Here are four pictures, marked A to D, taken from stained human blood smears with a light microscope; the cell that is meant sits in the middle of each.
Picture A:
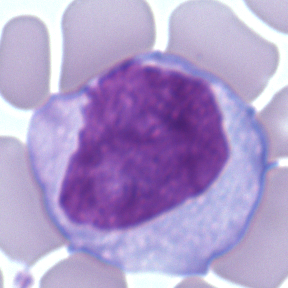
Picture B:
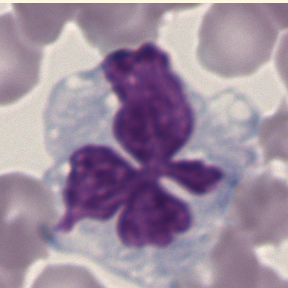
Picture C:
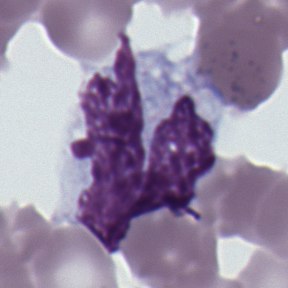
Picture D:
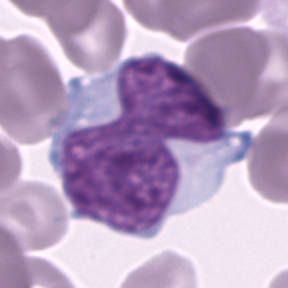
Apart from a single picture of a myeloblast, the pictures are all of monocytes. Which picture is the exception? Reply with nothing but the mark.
D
